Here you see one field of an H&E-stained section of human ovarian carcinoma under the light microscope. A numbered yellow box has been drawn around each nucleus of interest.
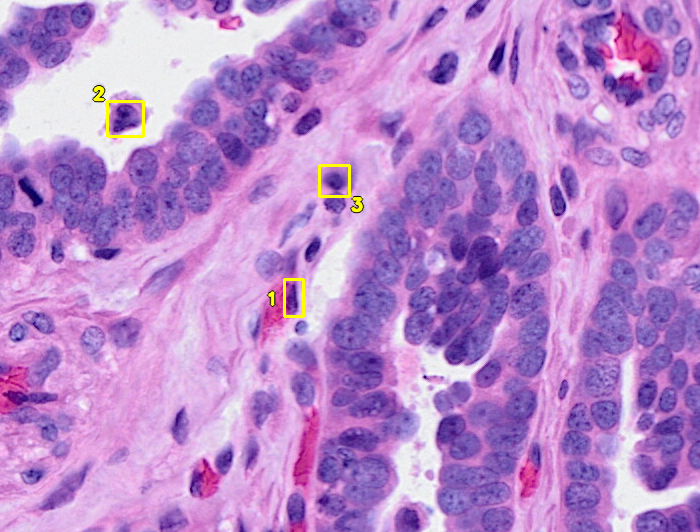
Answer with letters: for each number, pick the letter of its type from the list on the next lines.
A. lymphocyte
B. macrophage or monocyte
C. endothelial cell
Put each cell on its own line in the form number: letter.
1: C
2: B
3: A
